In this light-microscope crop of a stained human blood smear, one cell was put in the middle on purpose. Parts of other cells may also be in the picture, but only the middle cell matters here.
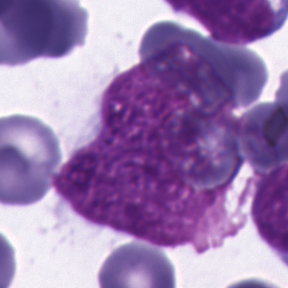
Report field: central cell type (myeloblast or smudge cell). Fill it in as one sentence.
The cell at the heart of this crop is a smudge cell.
